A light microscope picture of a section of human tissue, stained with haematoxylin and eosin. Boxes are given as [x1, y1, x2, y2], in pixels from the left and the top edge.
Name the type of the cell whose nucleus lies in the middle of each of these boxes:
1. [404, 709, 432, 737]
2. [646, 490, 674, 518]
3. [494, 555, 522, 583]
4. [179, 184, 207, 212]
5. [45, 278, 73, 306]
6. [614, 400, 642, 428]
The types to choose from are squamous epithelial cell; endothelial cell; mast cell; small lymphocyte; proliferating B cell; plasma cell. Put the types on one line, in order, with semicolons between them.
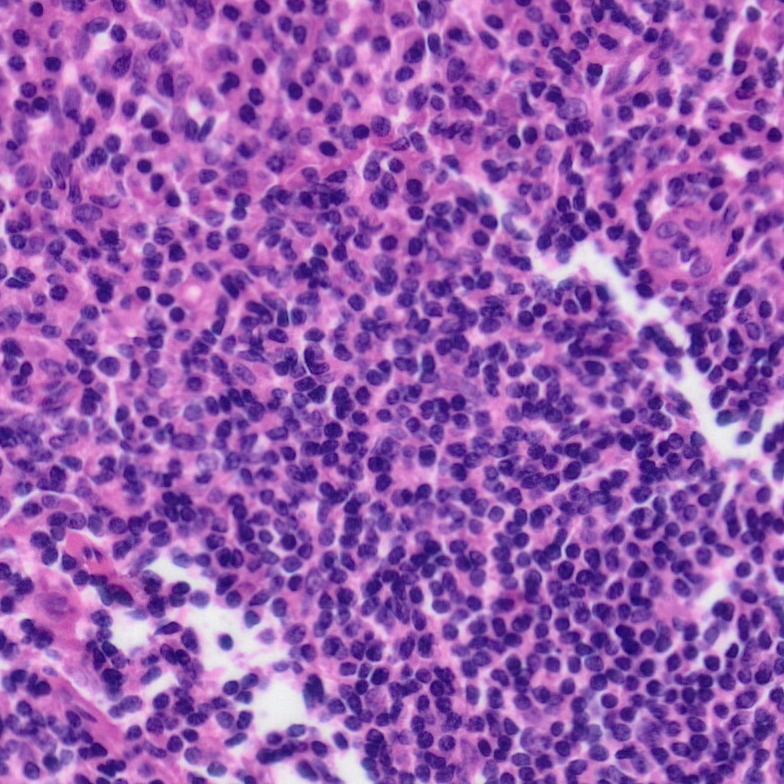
small lymphocyte; small lymphocyte; small lymphocyte; plasma cell; plasma cell; small lymphocyte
